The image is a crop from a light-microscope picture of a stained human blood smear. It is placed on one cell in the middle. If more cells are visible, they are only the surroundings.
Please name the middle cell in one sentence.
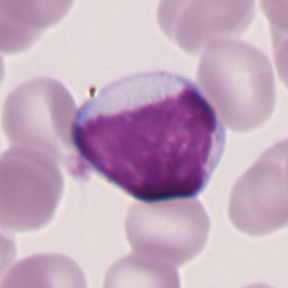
The cell found in the middle of this crop is a large granular lymphocyte.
